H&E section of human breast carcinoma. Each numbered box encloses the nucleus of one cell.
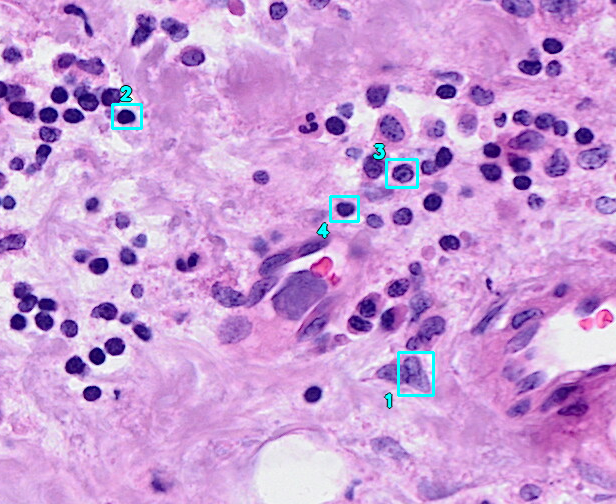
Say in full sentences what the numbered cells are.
Cell 1 is a fibroblast, cell 2 is a lymphocyte, cell 3 is a lymphocyte and cell 4 is a lymphocyte.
